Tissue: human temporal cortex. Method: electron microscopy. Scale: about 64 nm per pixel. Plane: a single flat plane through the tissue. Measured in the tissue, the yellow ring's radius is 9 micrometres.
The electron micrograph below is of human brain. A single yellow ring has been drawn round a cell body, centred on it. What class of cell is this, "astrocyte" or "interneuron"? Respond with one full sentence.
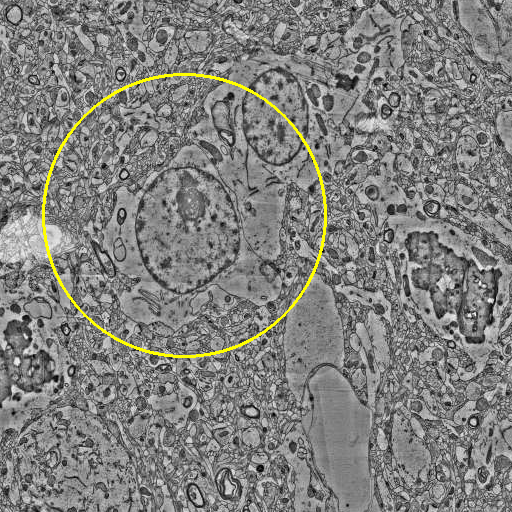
In the micrograph, the cell centred inside the yellow ring is an astrocyte.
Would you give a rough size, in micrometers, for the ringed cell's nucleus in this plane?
About 8 by 7 micrometers for the nucleus, in this plane.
